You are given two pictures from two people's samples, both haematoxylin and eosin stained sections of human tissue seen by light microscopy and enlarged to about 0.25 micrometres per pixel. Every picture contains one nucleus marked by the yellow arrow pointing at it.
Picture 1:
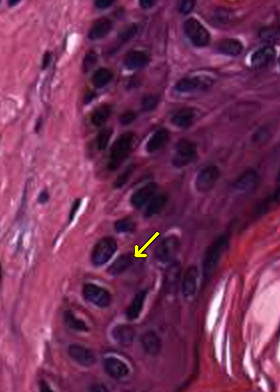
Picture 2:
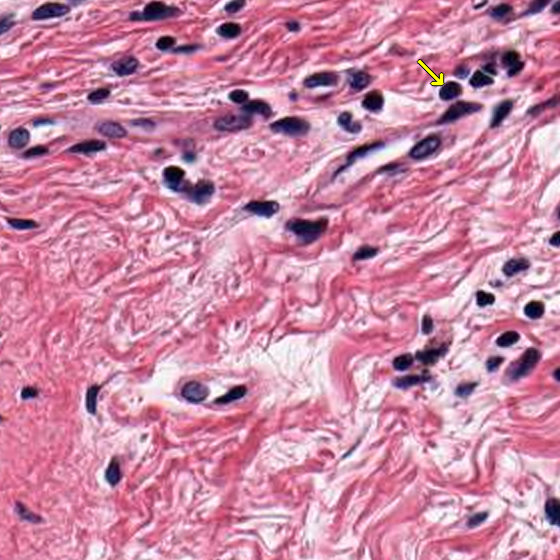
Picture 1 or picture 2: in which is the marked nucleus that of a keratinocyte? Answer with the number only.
1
